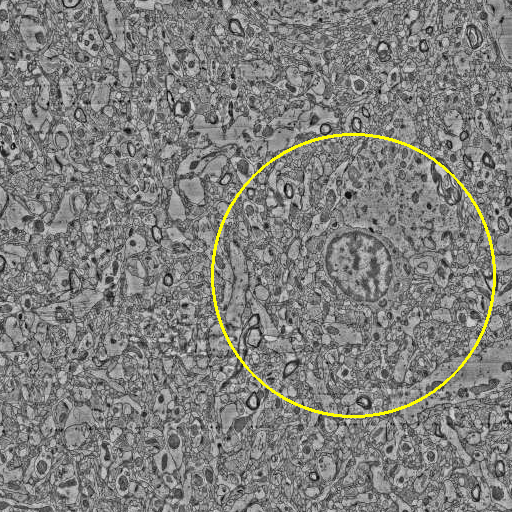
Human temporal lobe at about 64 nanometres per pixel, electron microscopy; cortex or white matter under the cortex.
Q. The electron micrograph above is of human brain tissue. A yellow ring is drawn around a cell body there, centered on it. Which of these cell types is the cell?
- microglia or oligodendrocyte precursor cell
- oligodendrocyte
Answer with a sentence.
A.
The cell under the ring's center is an oligodendrocyte.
